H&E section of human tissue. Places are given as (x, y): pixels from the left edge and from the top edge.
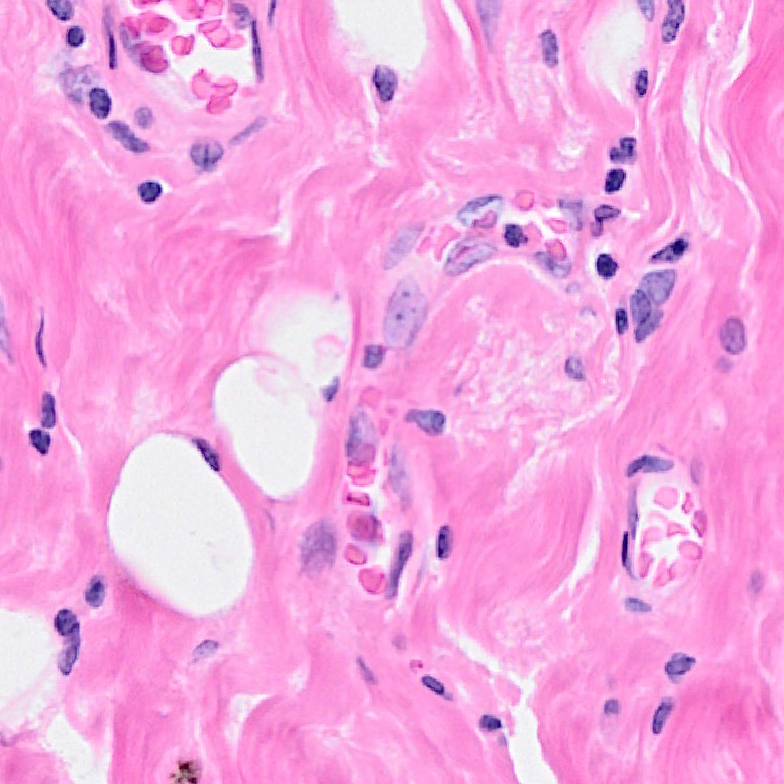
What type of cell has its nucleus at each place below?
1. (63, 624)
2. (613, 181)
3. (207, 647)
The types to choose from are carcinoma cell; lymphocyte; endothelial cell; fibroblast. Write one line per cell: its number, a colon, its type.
1: lymphocyte
2: lymphocyte
3: fibroblast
